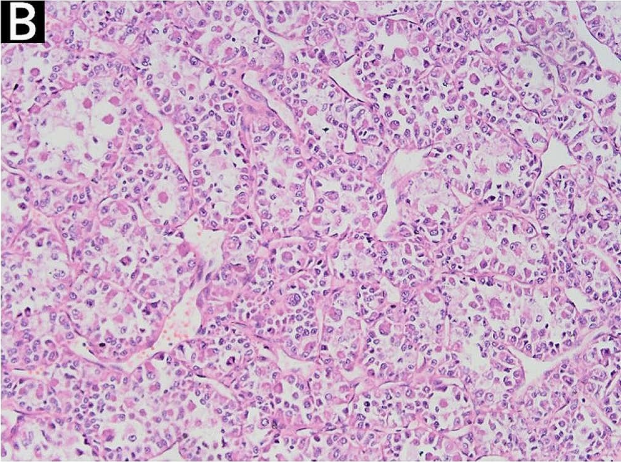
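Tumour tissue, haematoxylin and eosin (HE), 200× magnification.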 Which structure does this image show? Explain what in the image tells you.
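Thin-walled spaces lie between the cell groups. Some spaces contain red blood cells.
Conclusion: blood sinuses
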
